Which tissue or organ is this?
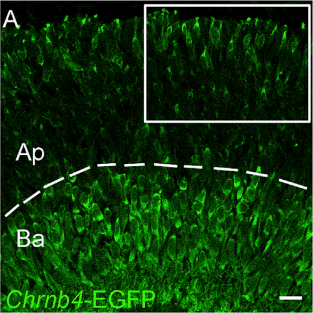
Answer: Retinas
